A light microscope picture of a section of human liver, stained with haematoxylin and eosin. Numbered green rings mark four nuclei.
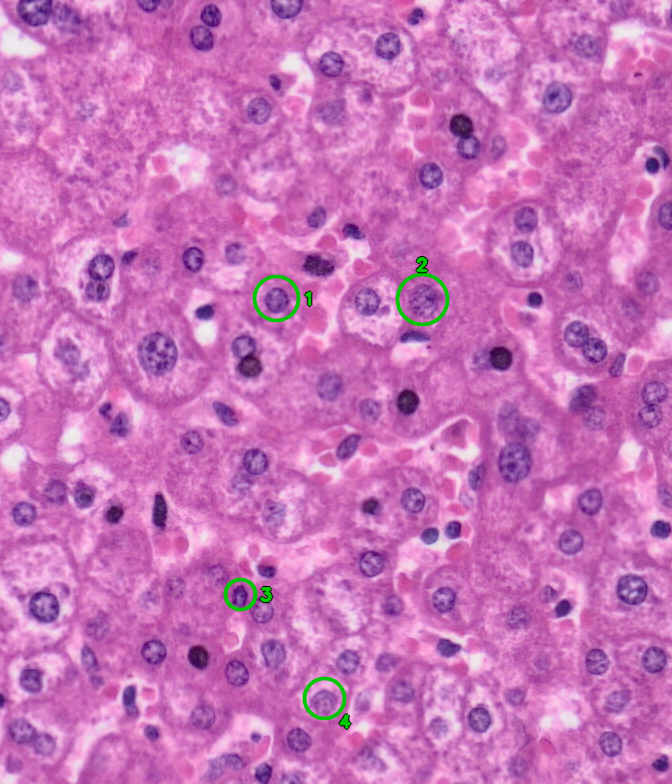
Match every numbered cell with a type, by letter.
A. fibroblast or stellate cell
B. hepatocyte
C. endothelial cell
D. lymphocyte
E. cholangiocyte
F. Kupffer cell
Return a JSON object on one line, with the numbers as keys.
{"1": "B", "2": "B", "3": "A", "4": "B"}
